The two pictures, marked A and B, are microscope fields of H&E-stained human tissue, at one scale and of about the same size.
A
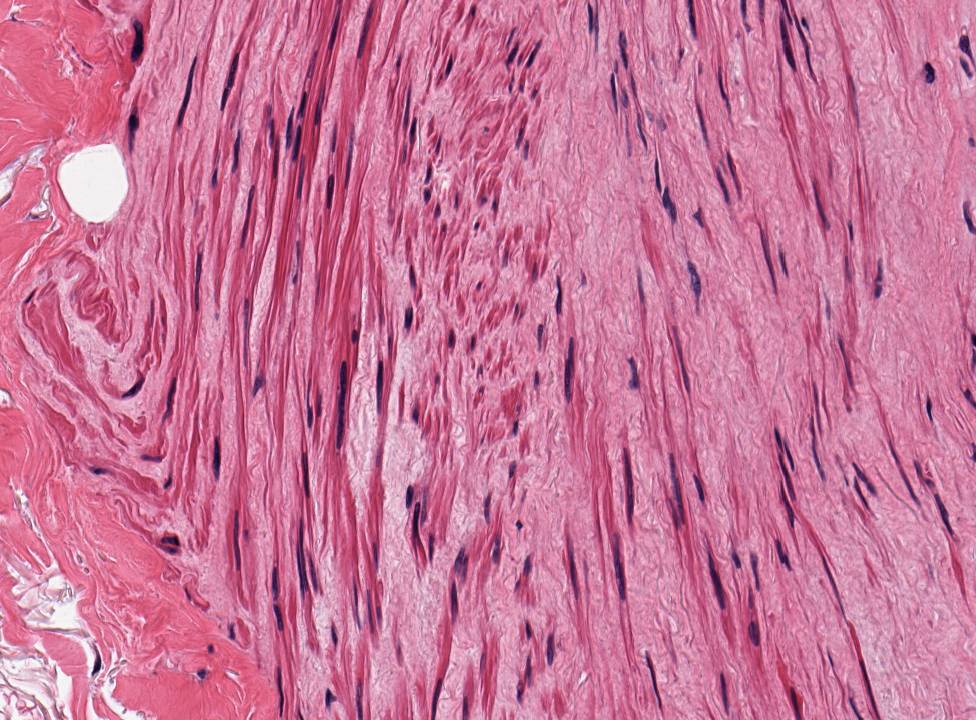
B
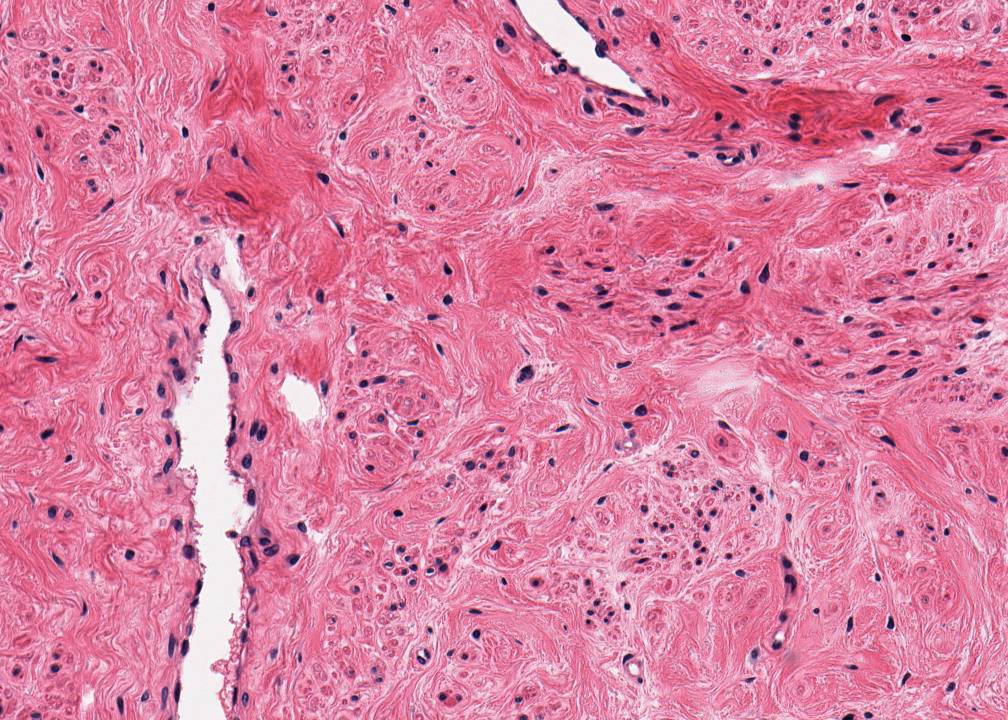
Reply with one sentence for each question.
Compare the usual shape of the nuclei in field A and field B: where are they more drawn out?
Longer, more slender nuclei lie in field A.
